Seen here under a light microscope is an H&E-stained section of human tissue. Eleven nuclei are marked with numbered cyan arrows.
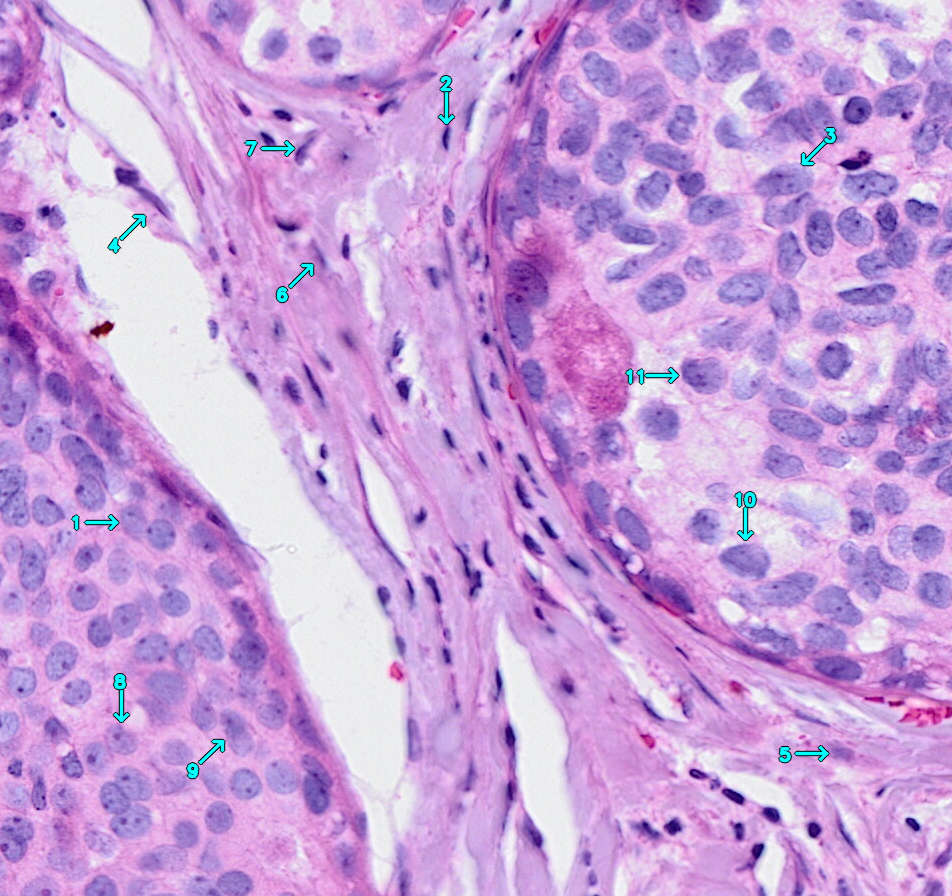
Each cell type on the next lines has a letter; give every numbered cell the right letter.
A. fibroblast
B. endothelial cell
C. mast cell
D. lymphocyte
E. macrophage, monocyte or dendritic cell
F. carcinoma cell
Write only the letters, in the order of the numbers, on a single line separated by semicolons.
F; A; F; A; A; A; A; F; F; F; F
